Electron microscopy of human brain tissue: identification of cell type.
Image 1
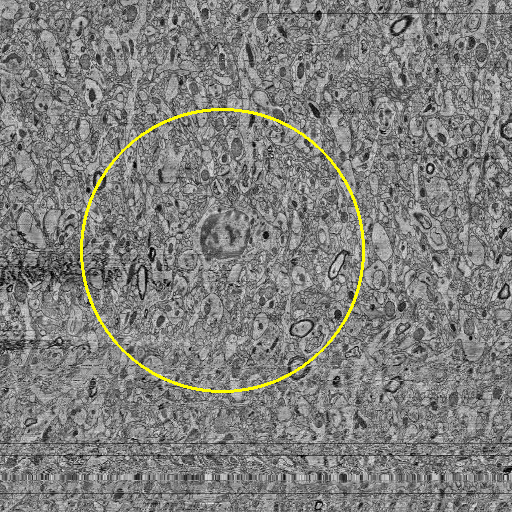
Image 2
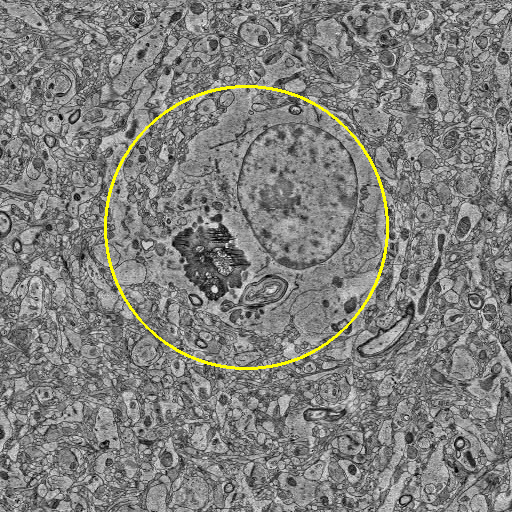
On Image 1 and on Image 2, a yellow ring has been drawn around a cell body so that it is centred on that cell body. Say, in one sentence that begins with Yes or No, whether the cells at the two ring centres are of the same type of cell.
No, the two cells are two separate types of cell.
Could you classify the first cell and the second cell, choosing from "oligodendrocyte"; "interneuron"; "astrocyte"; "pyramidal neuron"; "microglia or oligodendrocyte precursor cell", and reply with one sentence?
The second cell is an astrocyte, while the first is a microglial cell or oligodendrocyte precursor cell.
